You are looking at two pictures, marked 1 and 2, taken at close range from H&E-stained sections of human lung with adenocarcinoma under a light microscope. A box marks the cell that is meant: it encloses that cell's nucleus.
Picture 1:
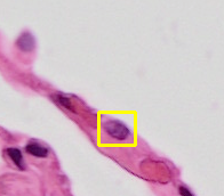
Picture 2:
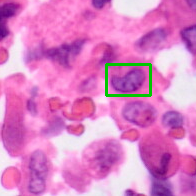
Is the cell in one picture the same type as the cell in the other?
no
